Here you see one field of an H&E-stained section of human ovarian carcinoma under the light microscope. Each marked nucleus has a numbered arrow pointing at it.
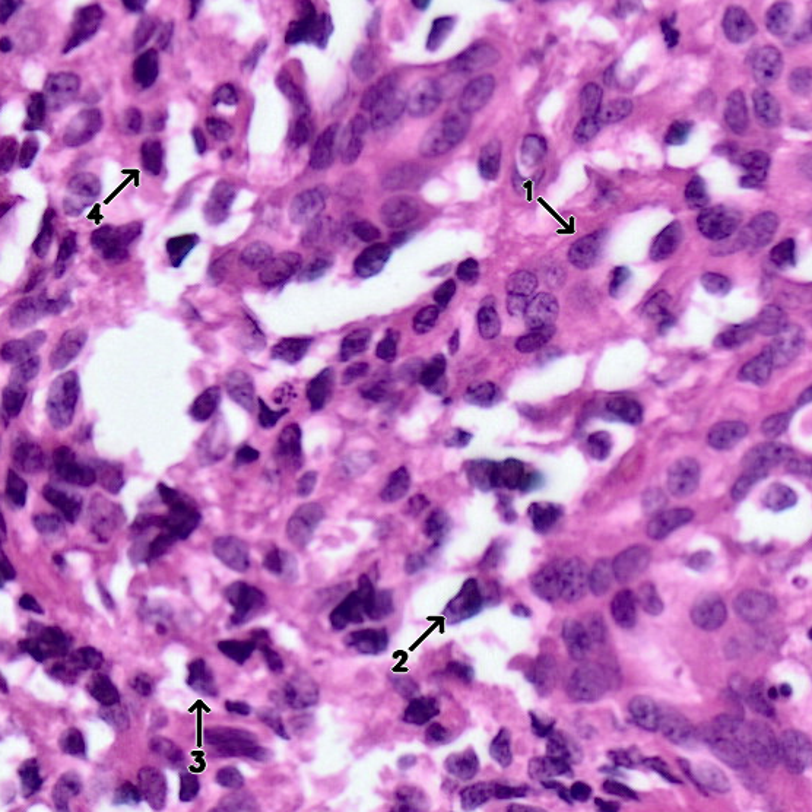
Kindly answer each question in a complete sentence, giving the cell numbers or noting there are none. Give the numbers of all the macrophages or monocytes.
Cell 3 is the single numbered cell that is a macrophage or monocyte.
